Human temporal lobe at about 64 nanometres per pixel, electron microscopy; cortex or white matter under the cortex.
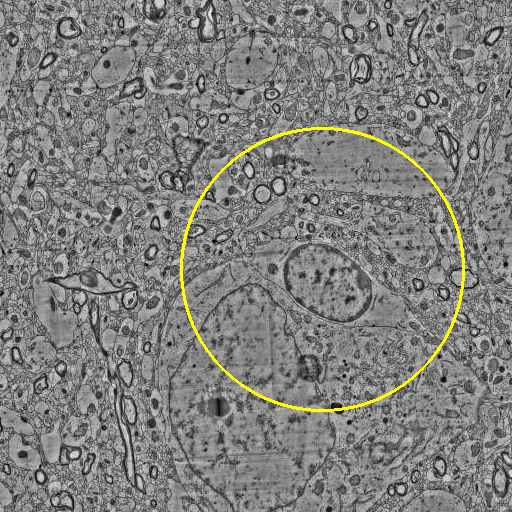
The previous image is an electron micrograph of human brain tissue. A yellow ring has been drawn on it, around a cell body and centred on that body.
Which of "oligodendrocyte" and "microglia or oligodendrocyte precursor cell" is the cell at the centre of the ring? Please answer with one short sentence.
The cell body at the centre of the ring belongs to a microglial cell or oligodendrocyte precursor cell.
